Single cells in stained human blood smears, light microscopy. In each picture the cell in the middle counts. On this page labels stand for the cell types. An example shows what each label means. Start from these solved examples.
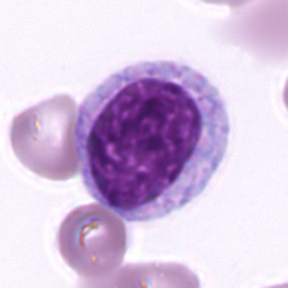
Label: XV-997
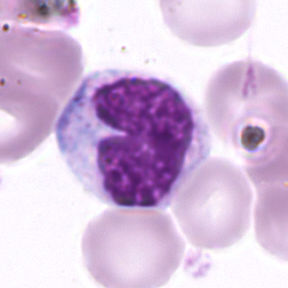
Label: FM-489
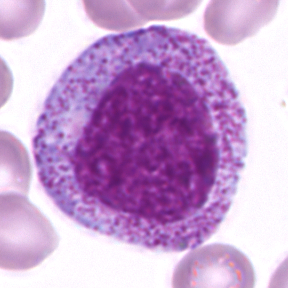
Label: XV-997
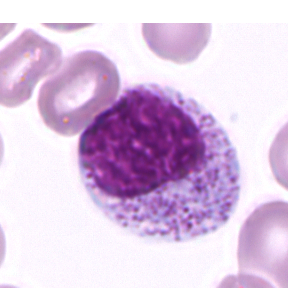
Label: XV-997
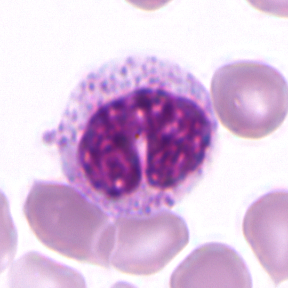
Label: FM-489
